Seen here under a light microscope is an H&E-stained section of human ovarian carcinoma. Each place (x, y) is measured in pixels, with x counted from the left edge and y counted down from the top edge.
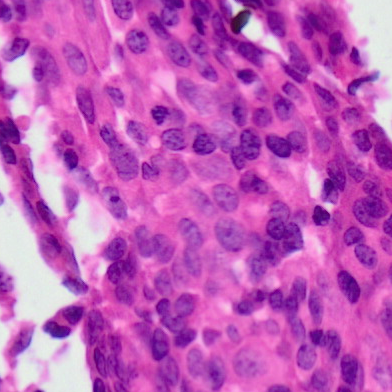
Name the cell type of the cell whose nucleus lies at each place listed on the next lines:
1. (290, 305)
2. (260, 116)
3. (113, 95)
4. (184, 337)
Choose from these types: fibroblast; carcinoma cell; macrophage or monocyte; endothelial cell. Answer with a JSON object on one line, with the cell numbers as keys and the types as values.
{"1": "carcinoma cell", "2": "carcinoma cell", "3": "macrophage or monocyte", "4": "carcinoma cell"}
